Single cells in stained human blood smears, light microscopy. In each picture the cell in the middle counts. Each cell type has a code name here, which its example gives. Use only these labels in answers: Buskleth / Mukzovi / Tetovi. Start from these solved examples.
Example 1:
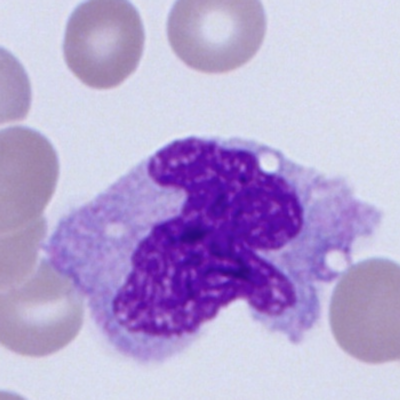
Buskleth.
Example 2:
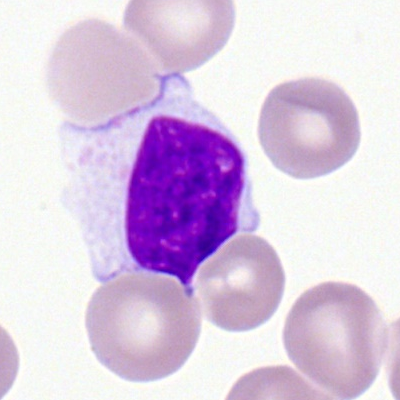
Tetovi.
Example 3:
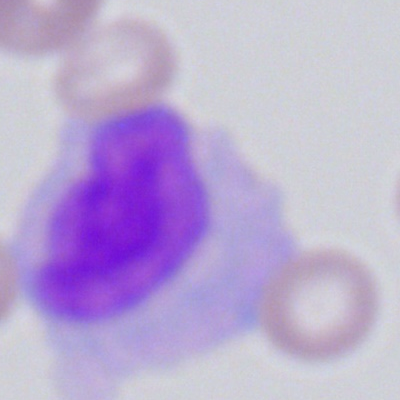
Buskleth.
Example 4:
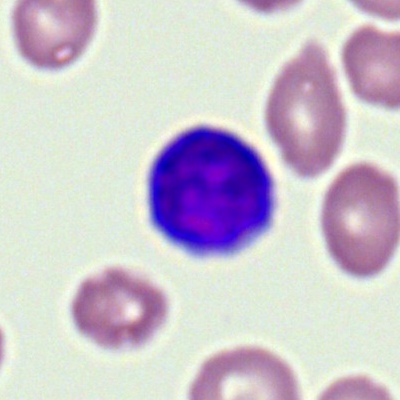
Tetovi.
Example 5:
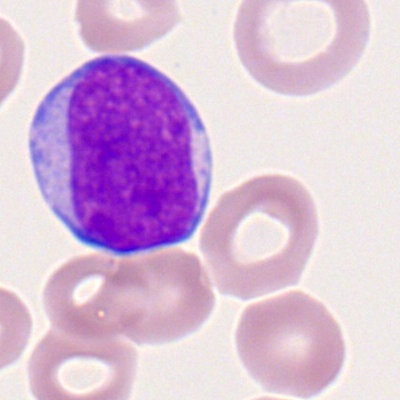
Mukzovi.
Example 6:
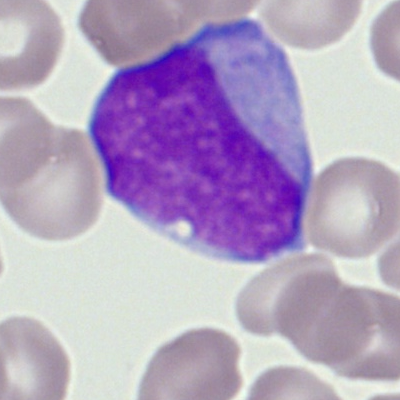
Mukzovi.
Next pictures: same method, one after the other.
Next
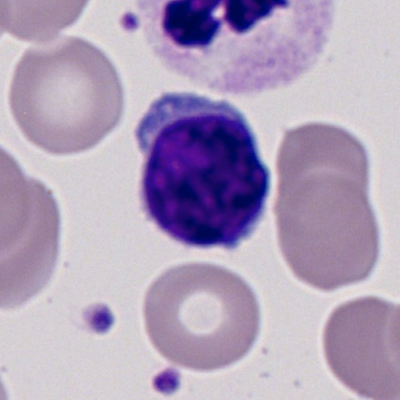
Tetovi.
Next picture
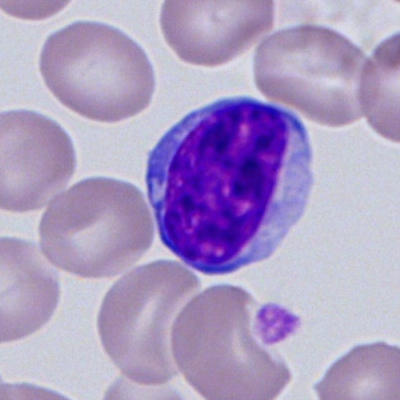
Tetovi.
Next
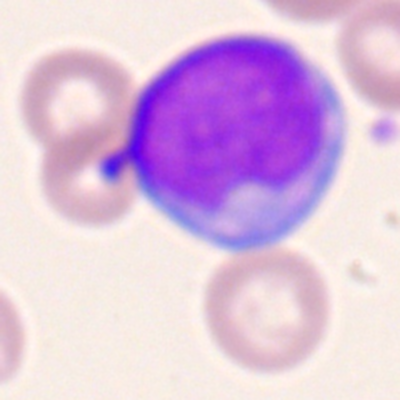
Mukzovi.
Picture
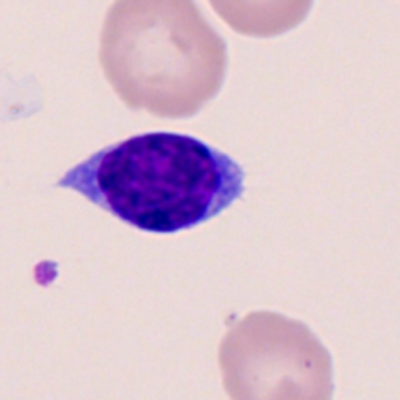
Tetovi.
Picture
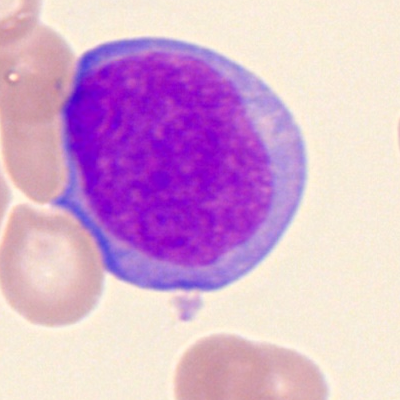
Mukzovi.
